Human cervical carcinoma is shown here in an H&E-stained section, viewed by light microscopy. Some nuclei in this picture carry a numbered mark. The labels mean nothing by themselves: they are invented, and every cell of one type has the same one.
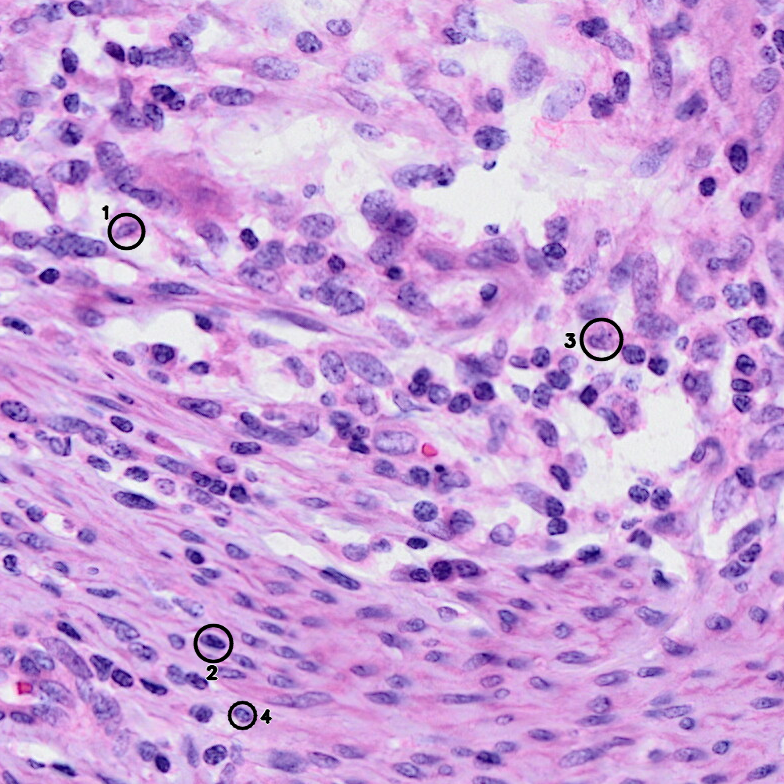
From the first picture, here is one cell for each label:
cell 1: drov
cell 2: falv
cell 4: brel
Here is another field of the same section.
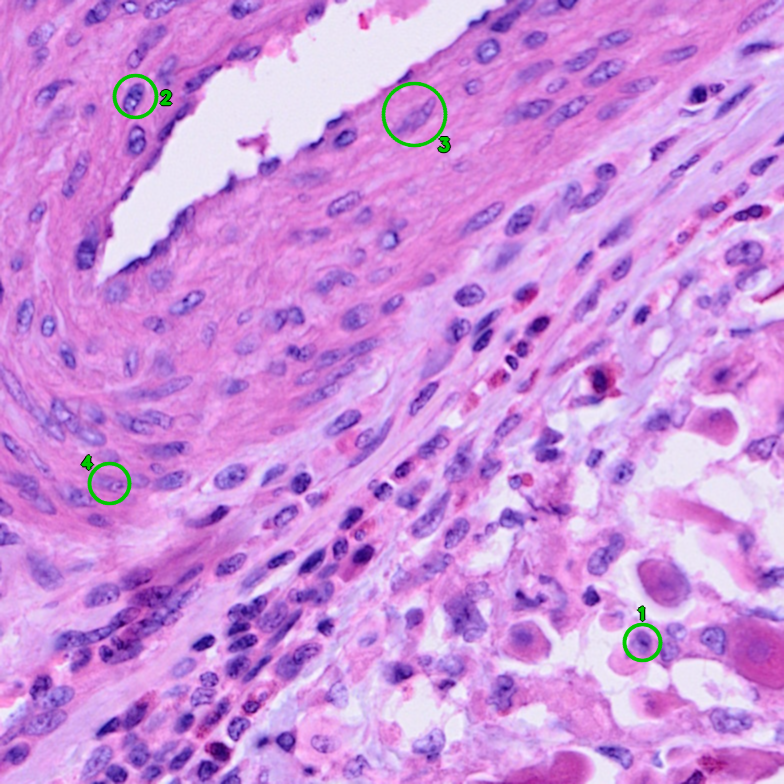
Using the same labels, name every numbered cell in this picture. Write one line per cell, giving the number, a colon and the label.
1: drov
2: brel
3: brel
4: brel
